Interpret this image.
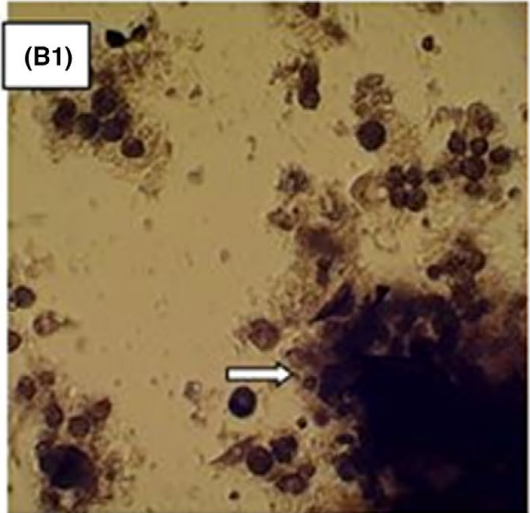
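Small rounded cells with granular cytoplasm lie scattered around it and form loose groups elsewhere in the field. Pale, fine debris lies between the groups of cells.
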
